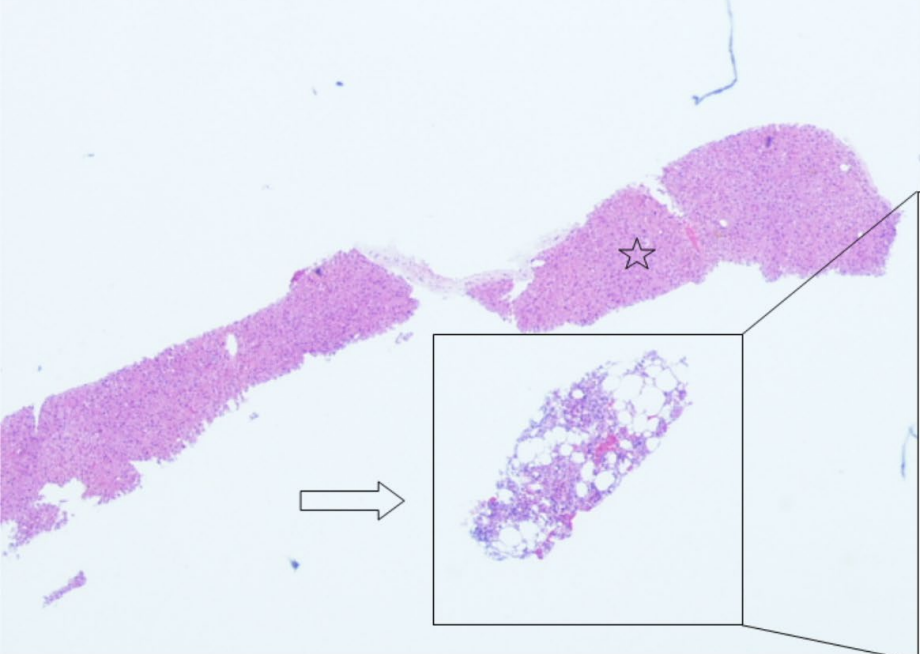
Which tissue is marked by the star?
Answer: benign hepatic parenchyma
